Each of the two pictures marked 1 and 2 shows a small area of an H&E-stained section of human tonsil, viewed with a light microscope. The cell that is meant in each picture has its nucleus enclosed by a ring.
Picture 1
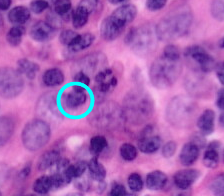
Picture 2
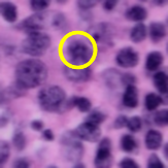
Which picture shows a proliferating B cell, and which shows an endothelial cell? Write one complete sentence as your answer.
Picture 1 shows an endothelial cell and picture 2 shows a proliferating B cell.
